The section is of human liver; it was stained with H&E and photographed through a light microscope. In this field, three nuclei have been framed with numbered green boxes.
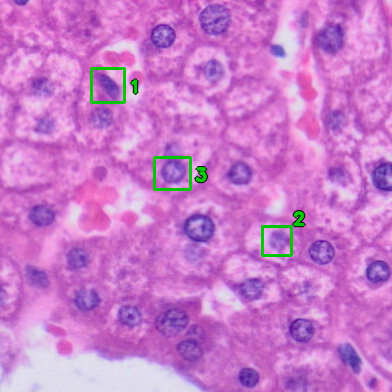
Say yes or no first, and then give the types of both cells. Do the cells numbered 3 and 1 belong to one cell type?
No, cell 3 is a hepatocyte and cell 1 is a Kupffer cell.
